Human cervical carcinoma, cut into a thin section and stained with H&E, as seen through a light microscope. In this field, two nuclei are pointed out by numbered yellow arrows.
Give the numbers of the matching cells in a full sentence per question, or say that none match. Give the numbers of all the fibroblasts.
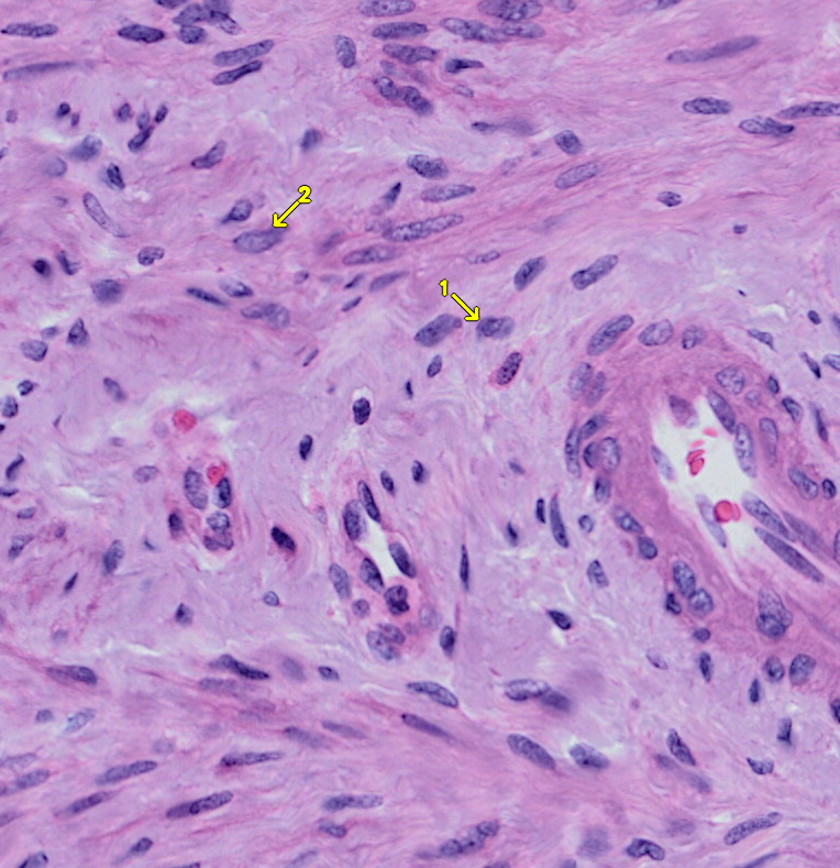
Of the marked cells, the one numbered 1 is a fibroblast and the rest are not.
